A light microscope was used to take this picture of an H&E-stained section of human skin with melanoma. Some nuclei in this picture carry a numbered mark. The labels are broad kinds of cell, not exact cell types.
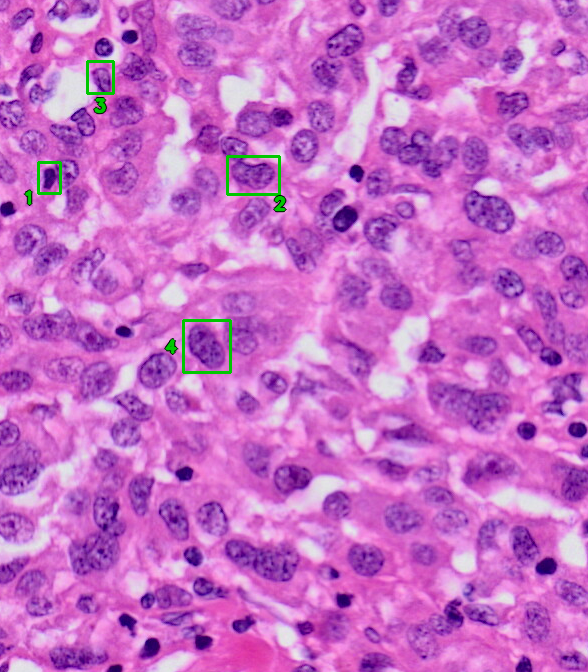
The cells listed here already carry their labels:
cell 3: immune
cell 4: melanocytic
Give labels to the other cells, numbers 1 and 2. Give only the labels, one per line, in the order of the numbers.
immune
melanocytic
